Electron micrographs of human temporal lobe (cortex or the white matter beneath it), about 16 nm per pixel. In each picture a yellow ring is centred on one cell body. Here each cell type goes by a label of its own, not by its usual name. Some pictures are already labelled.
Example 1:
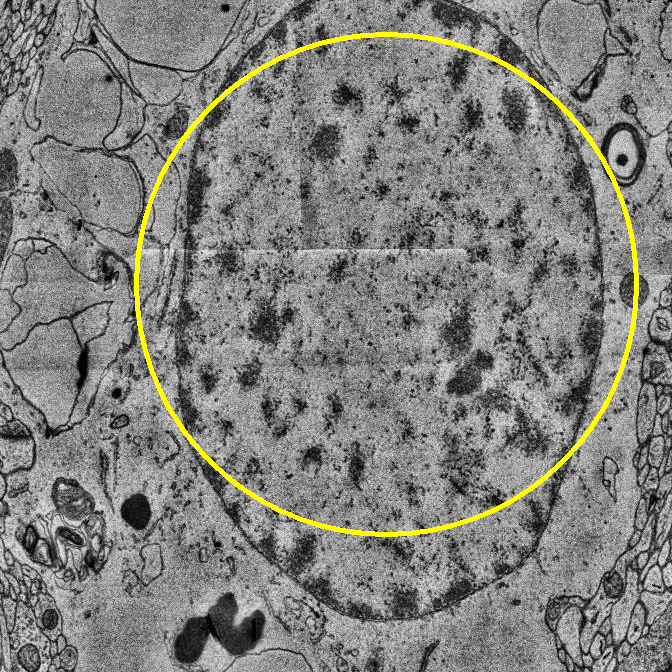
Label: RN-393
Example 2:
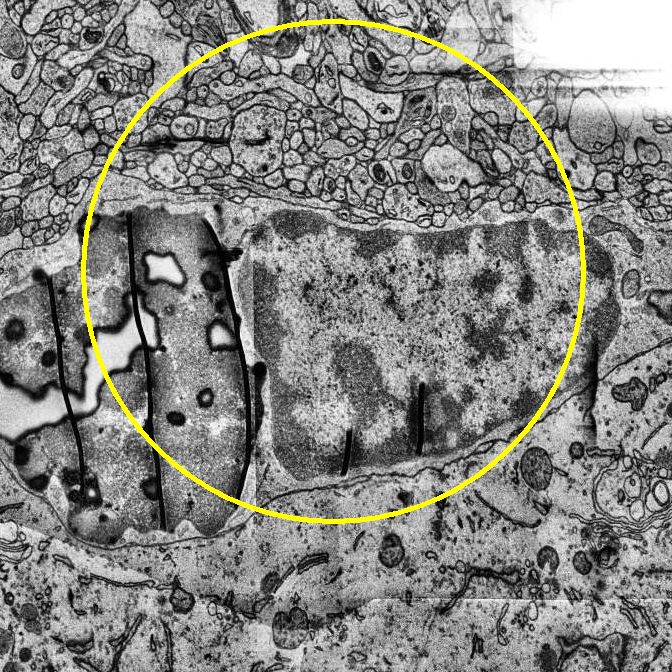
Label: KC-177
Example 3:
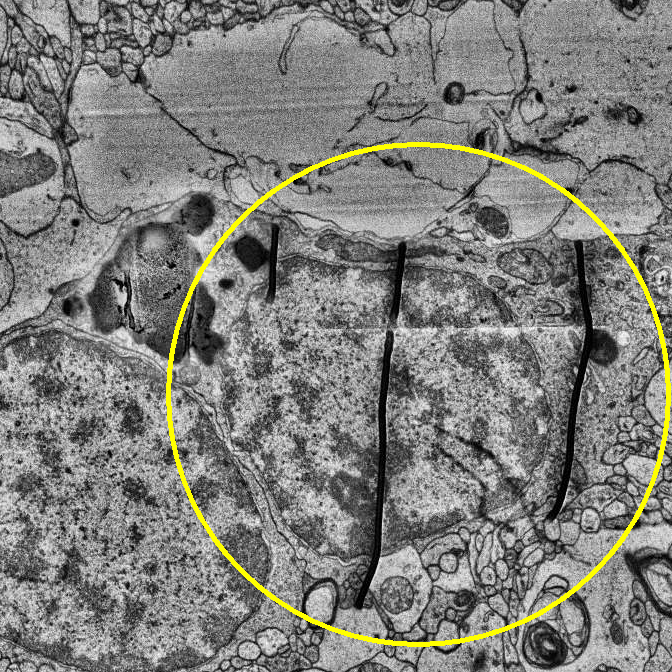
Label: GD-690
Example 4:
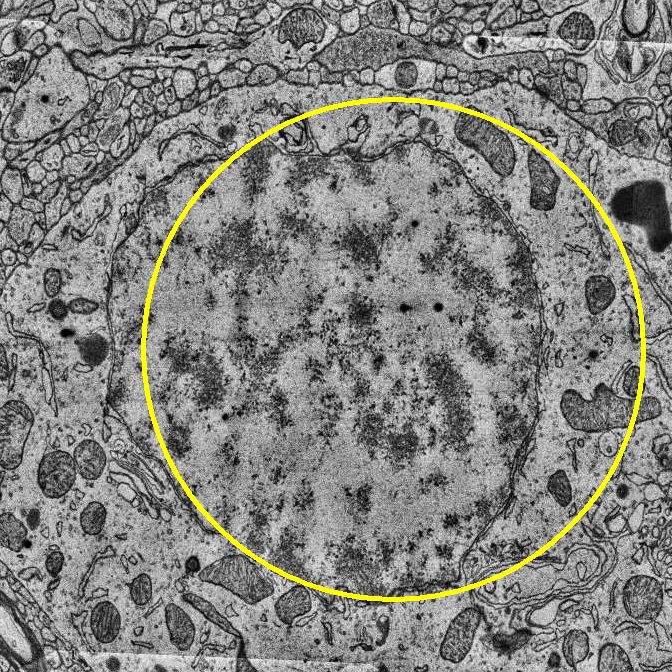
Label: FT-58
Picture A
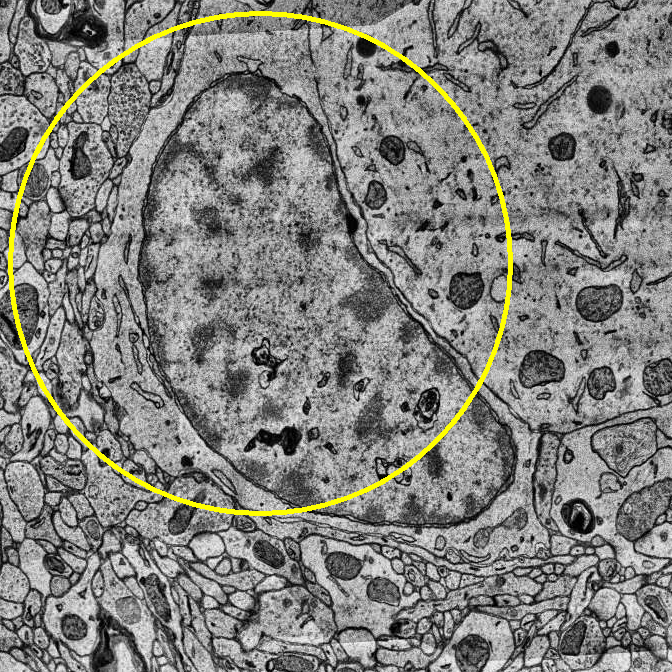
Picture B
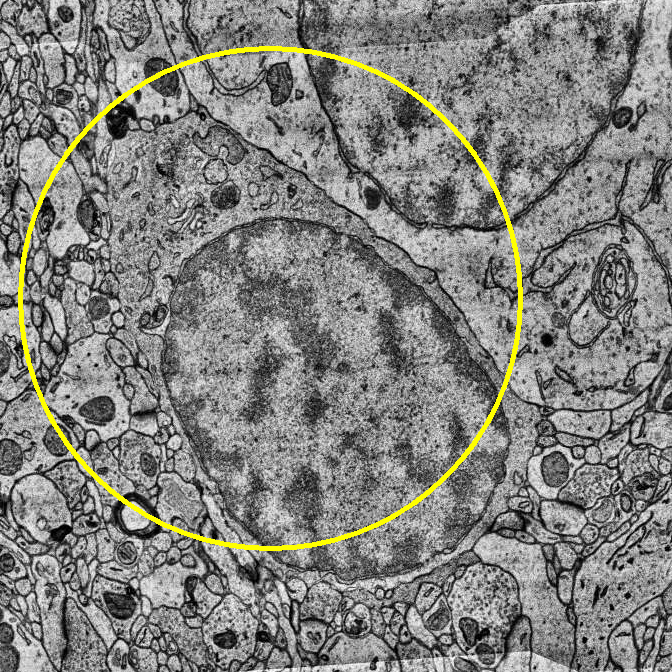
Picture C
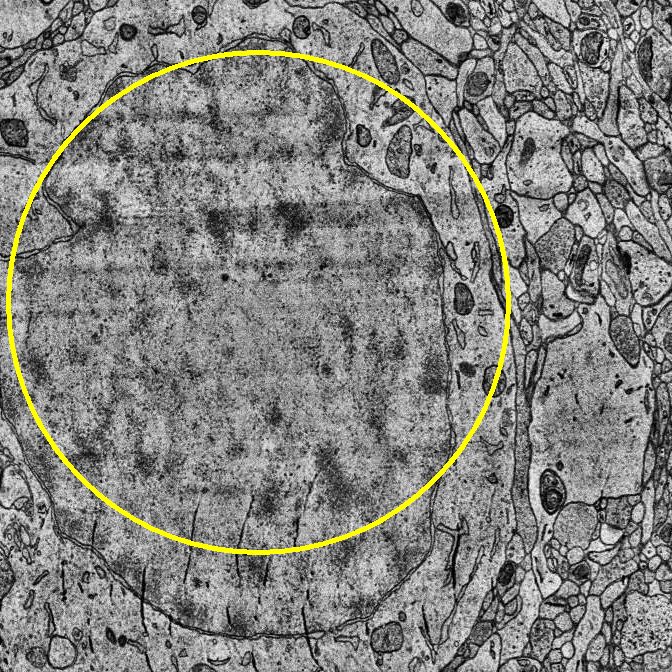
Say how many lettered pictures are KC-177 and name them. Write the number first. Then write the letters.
1, namely A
